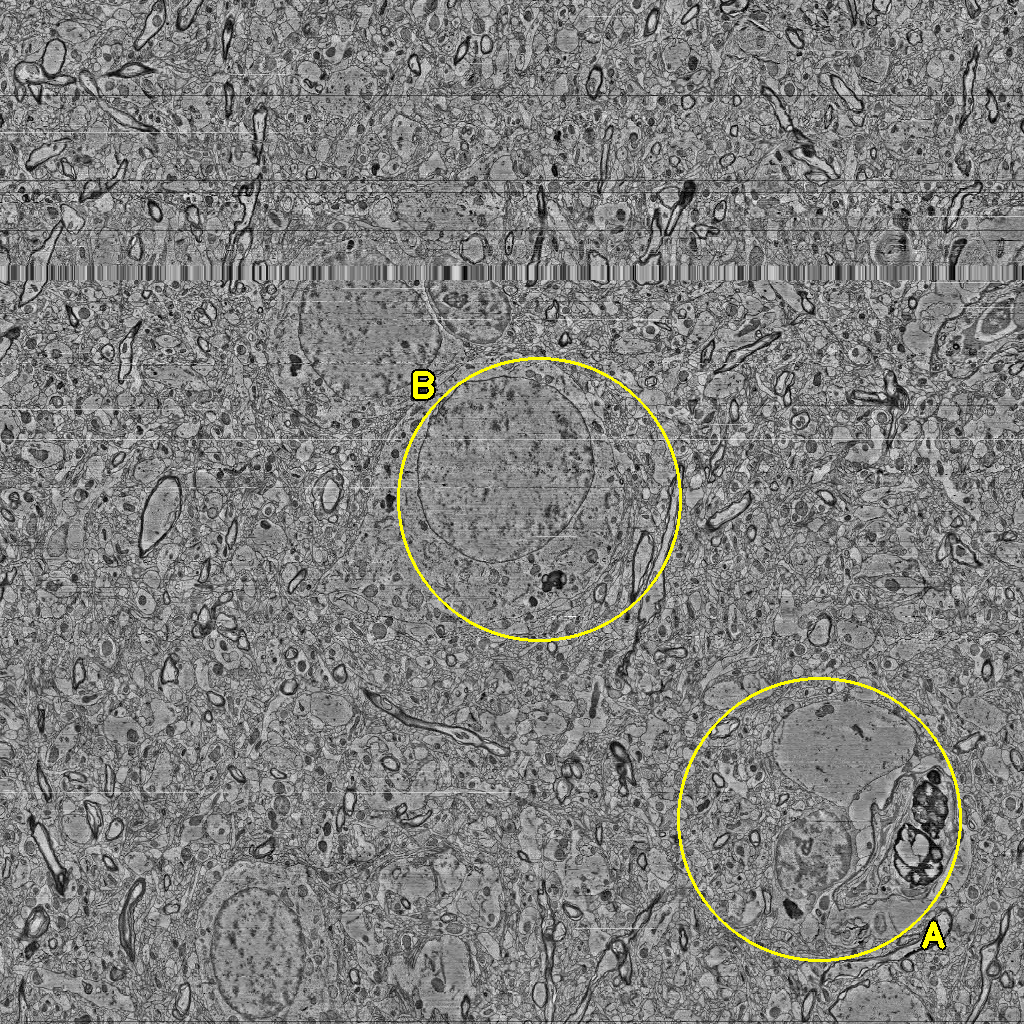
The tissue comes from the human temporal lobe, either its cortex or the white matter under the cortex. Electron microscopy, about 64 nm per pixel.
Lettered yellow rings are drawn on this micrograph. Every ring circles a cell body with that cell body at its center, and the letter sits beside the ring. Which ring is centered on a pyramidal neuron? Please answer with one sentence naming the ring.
Ring B has it at its center.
